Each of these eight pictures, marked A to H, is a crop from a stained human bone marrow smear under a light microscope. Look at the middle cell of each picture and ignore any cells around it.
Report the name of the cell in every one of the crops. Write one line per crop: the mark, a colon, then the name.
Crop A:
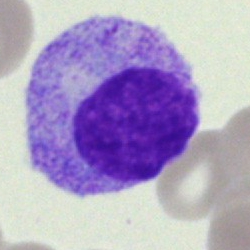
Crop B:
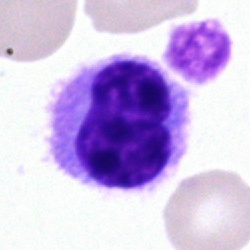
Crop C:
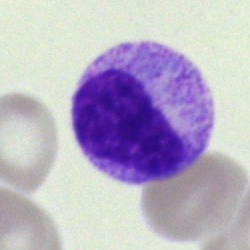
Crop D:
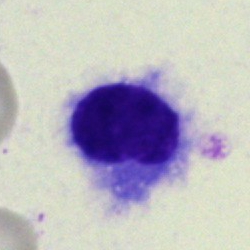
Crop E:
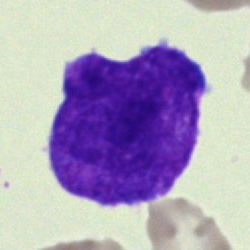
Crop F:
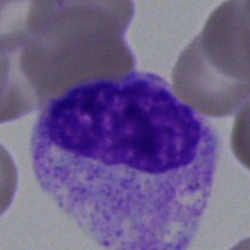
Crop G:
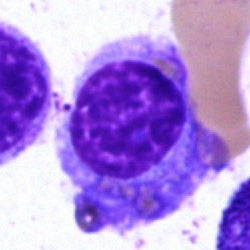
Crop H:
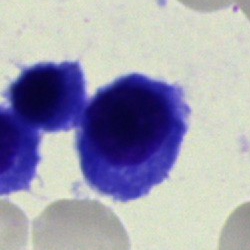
A: myelocyte
B: hairy cell
C: myelocyte
D: hairy cell
E: blast
F: myelocyte
G: plasma cell
H: erythroblast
